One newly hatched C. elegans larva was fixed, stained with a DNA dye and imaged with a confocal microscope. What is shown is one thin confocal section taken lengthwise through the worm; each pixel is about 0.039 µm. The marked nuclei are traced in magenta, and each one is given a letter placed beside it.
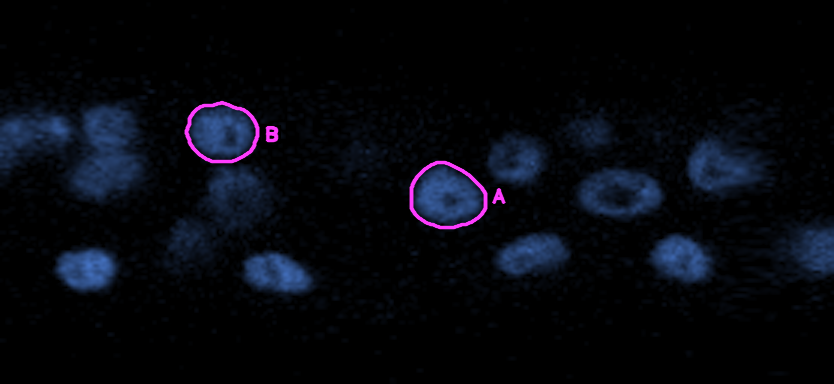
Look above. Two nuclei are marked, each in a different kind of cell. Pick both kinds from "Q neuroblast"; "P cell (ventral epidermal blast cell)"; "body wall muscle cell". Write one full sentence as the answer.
Nucleus A comes from a Q neuroblast and nucleus B from a P cell (ventral epidermal blast cell).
